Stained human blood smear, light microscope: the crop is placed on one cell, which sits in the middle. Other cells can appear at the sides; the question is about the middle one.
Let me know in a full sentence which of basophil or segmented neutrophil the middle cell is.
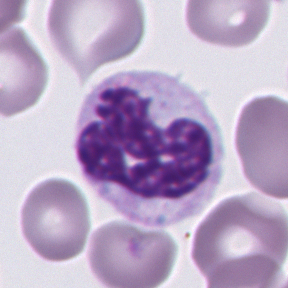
The cell of interest, in the center, is a segmented neutrophil.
